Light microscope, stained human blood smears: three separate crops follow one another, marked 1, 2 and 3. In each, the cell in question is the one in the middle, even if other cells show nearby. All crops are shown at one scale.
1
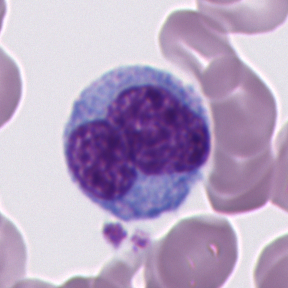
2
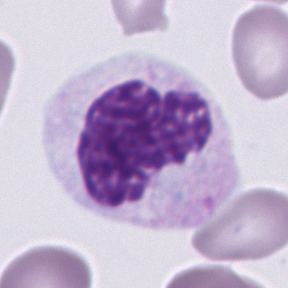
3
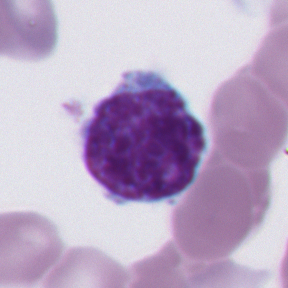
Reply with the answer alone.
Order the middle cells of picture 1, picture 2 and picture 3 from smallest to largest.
3, 1, 2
